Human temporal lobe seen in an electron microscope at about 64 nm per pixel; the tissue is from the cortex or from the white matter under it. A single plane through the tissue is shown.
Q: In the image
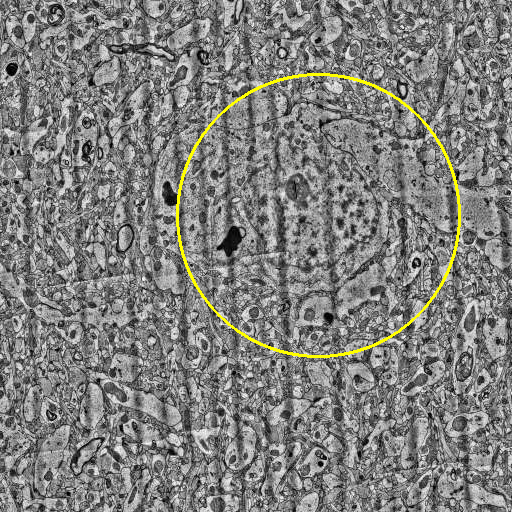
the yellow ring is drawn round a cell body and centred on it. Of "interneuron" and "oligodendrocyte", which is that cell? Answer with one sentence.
The cell centred in the ring is an interneuron.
